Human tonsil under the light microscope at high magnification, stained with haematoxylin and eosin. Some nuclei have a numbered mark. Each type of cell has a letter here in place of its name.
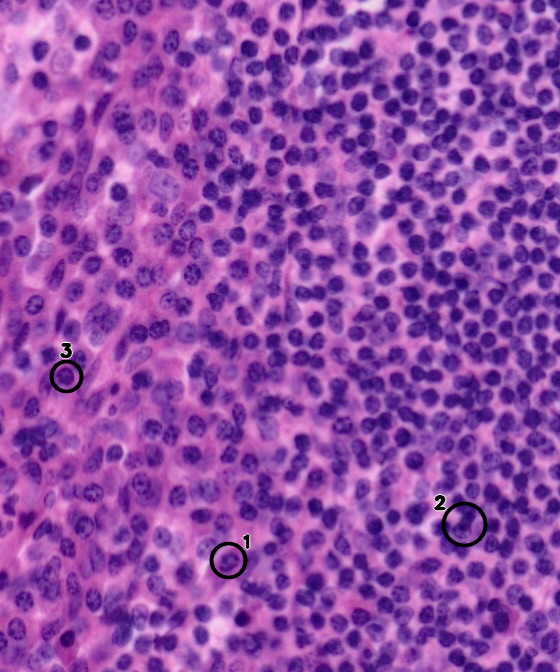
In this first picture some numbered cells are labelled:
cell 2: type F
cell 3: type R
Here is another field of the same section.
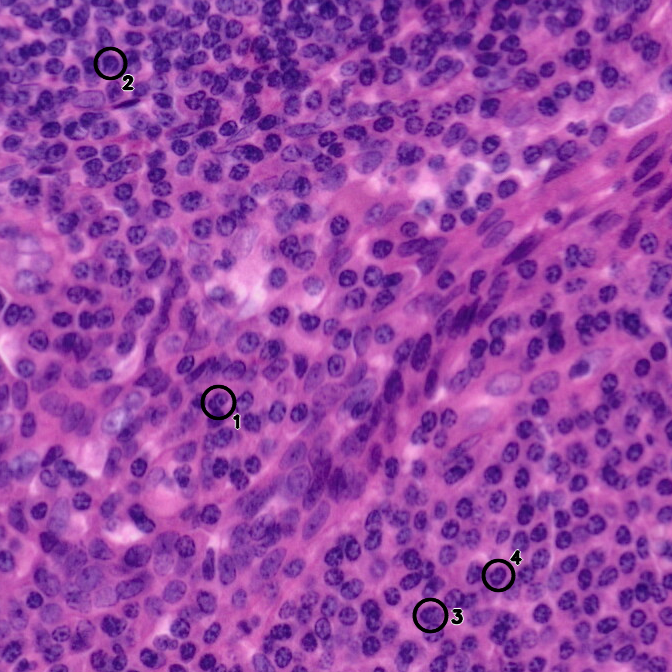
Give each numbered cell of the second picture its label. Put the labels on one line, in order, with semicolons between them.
type R; type F; type R; type R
